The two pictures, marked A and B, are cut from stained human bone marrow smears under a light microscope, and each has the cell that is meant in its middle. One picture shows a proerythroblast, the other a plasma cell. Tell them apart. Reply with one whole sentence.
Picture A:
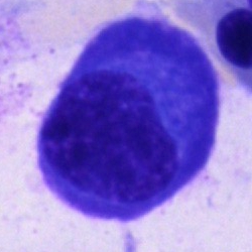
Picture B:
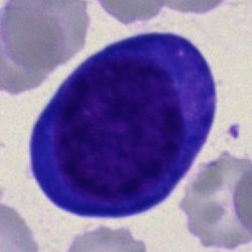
Picture B shows a proerythroblast, while picture A shows a plasma cell.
